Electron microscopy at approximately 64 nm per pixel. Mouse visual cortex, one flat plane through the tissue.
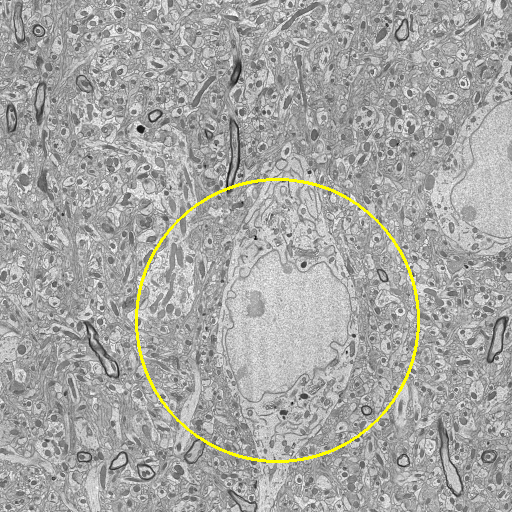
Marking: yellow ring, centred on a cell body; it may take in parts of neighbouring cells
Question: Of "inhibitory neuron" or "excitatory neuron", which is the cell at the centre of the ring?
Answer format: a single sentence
The ring surrounds the body of an inhibitory neuron.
